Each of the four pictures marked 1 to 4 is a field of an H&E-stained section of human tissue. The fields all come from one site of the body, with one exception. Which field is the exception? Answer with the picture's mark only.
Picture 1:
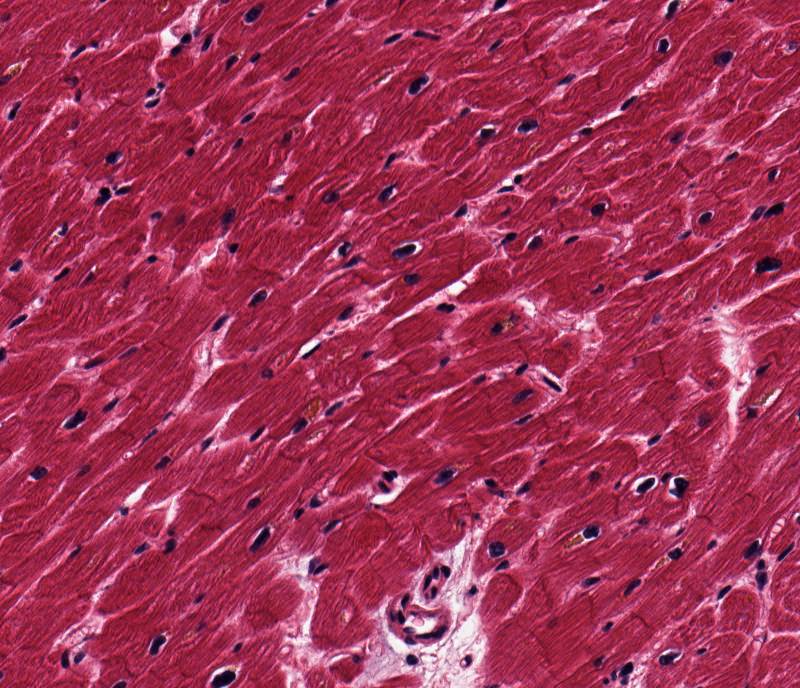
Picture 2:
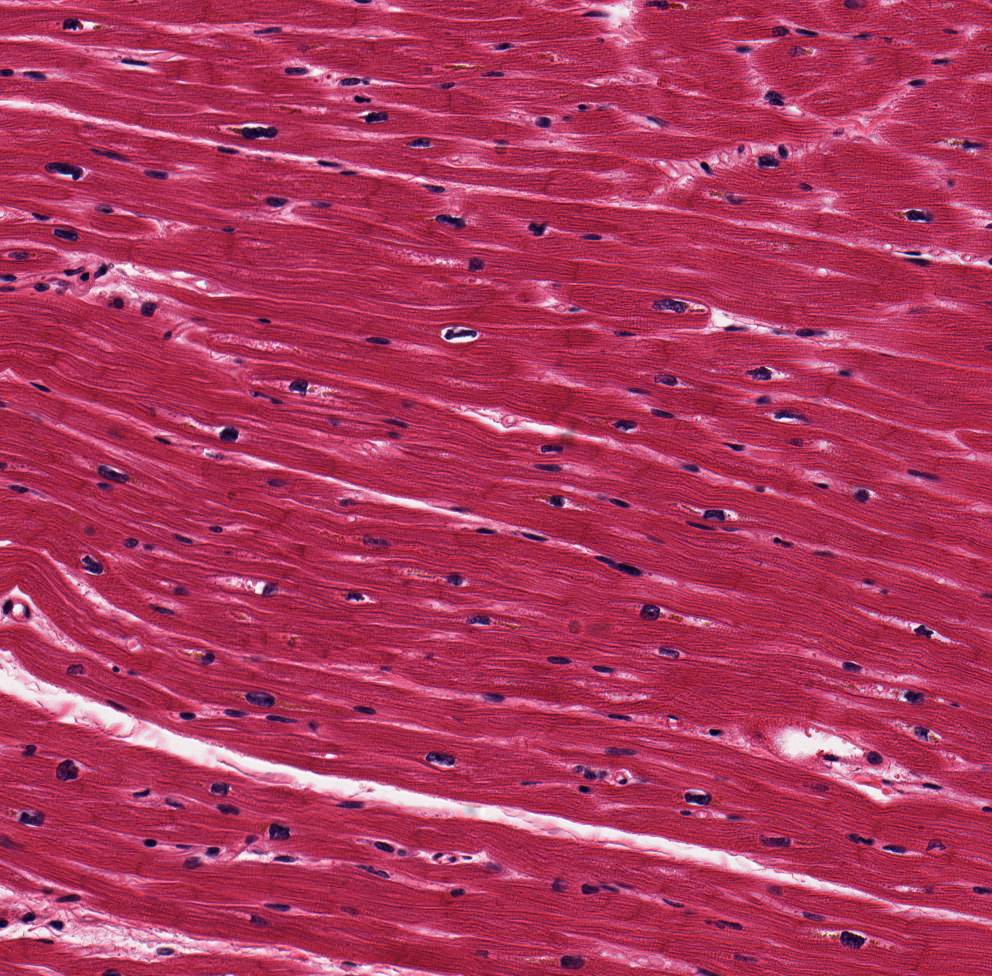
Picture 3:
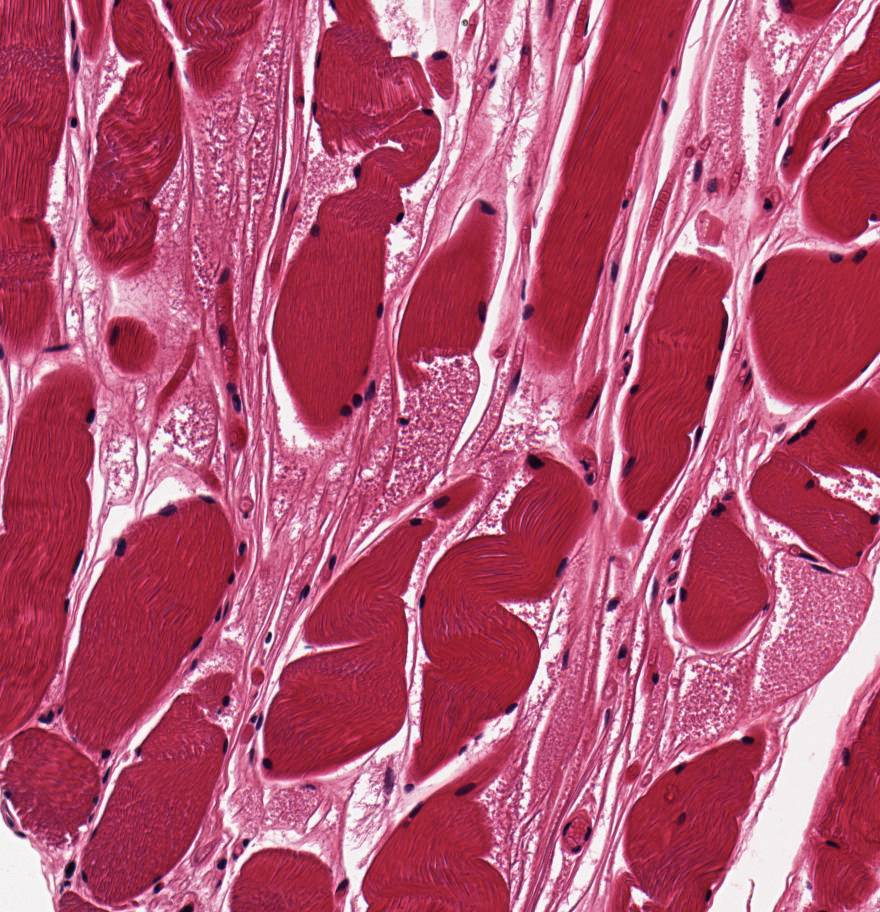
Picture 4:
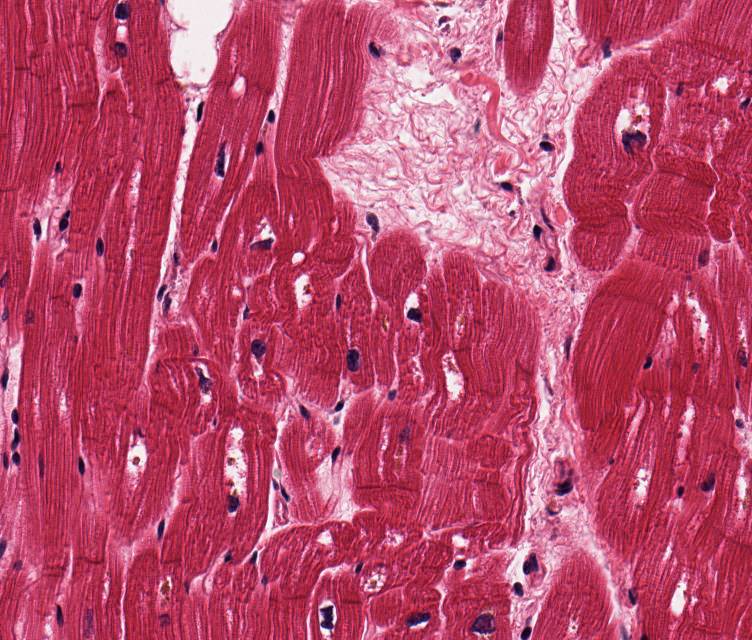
3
